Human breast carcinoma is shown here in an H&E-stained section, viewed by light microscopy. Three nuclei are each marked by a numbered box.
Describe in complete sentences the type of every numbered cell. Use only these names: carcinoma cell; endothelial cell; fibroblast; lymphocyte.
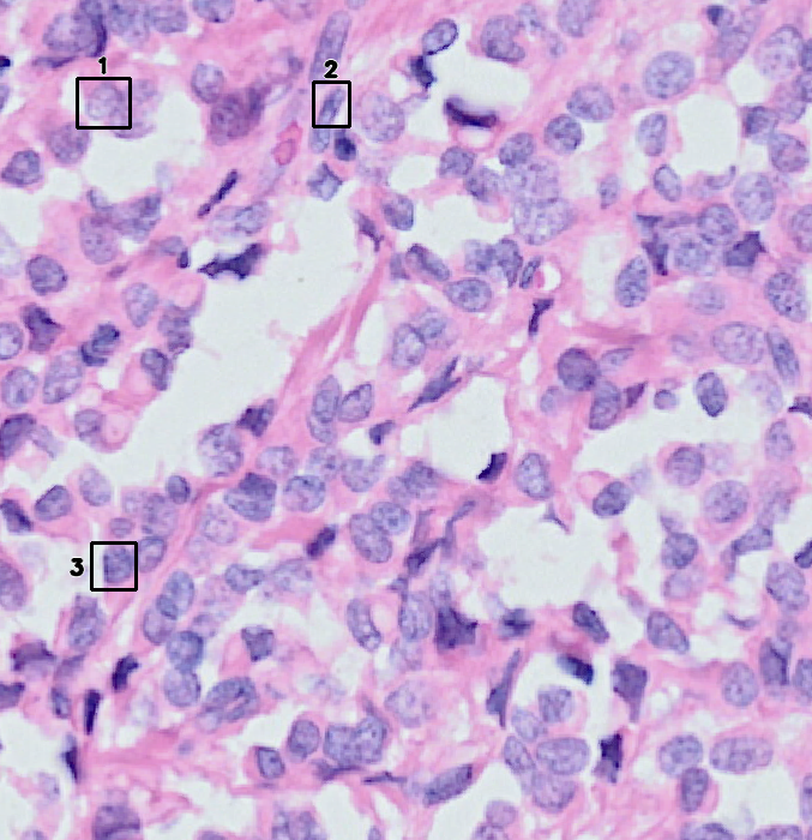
Cell 1 is a carcinoma cell, cell 2 is an endothelial cell and cell 3 is a carcinoma cell.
